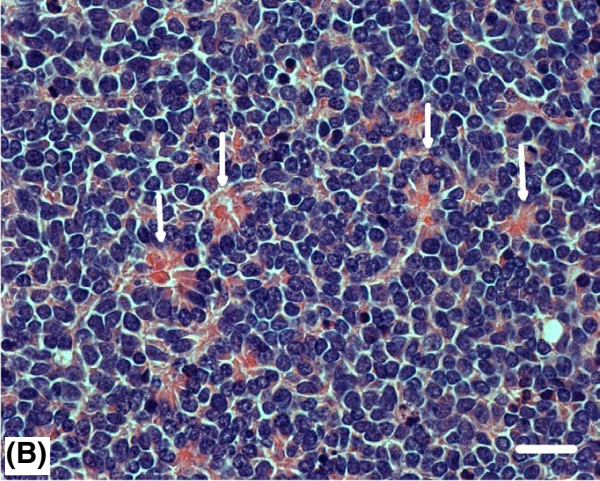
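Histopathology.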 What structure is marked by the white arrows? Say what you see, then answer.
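Tumor nuclei are arranged in rings around small central pink fibrillary areas. The centres of the rings have no lumen. On this evidence: Homer‐Right rosettes.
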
